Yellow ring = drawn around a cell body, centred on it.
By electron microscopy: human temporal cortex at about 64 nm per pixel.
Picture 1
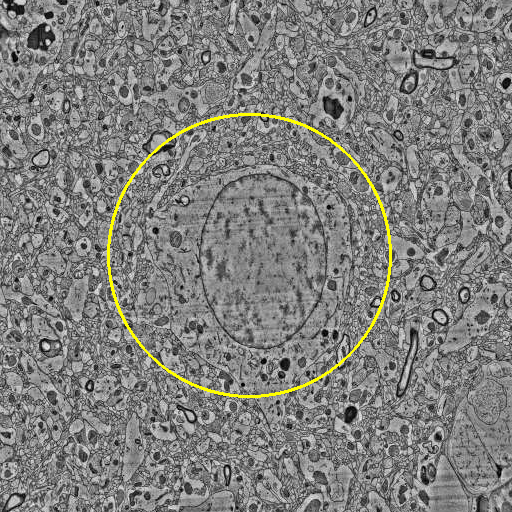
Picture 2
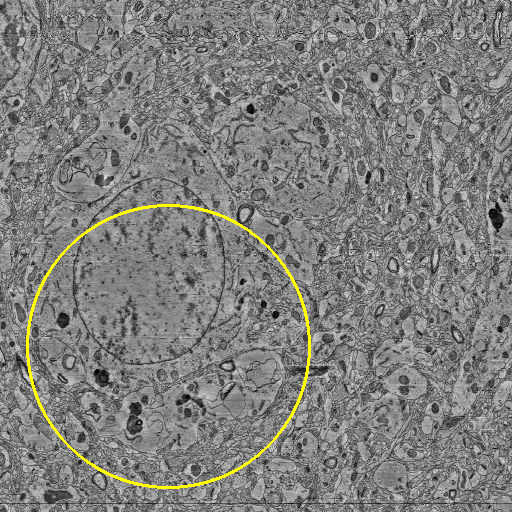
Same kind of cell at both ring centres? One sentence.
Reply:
Yes, they are the same kind of cell.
